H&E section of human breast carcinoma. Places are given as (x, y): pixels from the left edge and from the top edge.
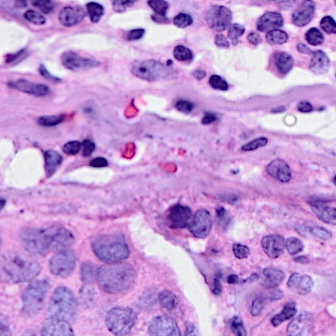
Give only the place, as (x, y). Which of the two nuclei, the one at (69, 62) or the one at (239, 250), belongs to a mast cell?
(69, 62)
